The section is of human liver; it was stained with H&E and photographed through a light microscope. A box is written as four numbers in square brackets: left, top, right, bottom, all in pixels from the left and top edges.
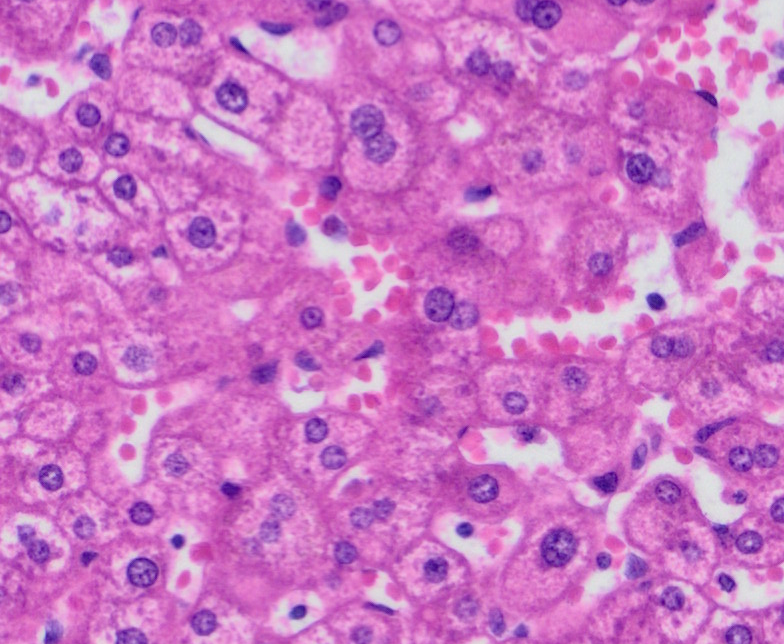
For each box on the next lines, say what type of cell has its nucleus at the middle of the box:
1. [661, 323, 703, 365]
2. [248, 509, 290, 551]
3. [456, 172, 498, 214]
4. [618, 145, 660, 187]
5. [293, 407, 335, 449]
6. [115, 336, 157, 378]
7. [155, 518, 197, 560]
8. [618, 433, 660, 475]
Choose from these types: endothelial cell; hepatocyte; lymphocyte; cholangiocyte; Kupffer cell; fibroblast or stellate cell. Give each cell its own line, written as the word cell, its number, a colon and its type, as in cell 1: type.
cell 1: hepatocyte
cell 2: hepatocyte
cell 3: Kupffer cell
cell 4: hepatocyte
cell 5: hepatocyte
cell 6: hepatocyte
cell 7: lymphocyte
cell 8: Kupffer cell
